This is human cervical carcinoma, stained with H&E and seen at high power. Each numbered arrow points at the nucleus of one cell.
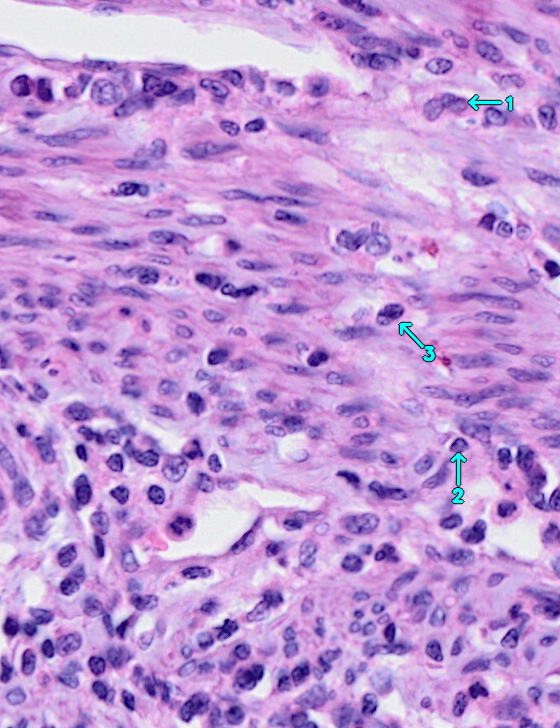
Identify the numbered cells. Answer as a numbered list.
1. macrophage or monocyte
2. lymphocyte
3. lymphocyte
